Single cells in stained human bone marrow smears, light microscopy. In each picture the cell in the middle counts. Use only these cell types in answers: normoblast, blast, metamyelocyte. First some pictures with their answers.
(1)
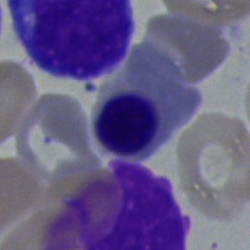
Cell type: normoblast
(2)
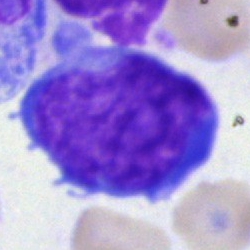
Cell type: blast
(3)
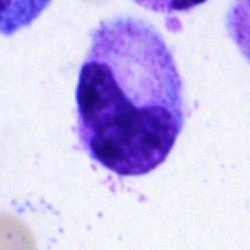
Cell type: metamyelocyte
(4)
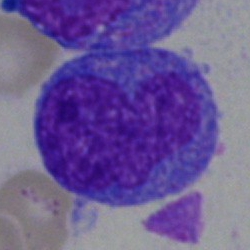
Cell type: blast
